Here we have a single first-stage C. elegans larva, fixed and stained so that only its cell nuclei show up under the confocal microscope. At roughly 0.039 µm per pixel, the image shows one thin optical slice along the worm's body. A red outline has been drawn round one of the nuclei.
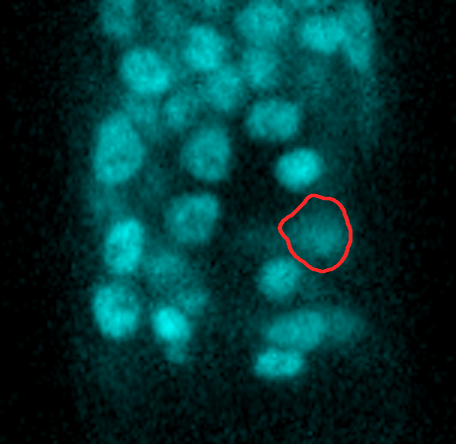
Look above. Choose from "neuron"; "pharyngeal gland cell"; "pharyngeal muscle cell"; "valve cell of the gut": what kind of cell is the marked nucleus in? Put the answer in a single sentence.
The marked nucleus is that of a pharyngeal muscle cell.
